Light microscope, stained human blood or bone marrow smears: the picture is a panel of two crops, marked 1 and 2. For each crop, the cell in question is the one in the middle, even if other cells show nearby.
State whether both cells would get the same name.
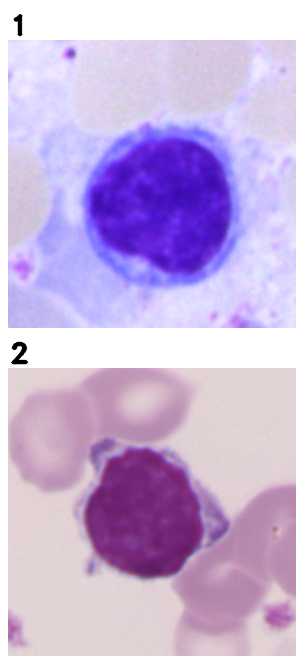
yes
